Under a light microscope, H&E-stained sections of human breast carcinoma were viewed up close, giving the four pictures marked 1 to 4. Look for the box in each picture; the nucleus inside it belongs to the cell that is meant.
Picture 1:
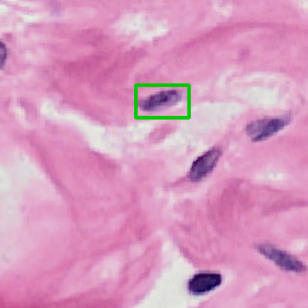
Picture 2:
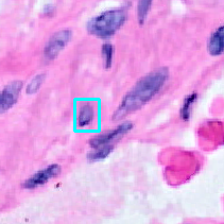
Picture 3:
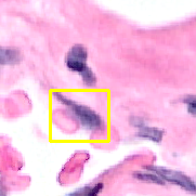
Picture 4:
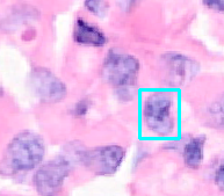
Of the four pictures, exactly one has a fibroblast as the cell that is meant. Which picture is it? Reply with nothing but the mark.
1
